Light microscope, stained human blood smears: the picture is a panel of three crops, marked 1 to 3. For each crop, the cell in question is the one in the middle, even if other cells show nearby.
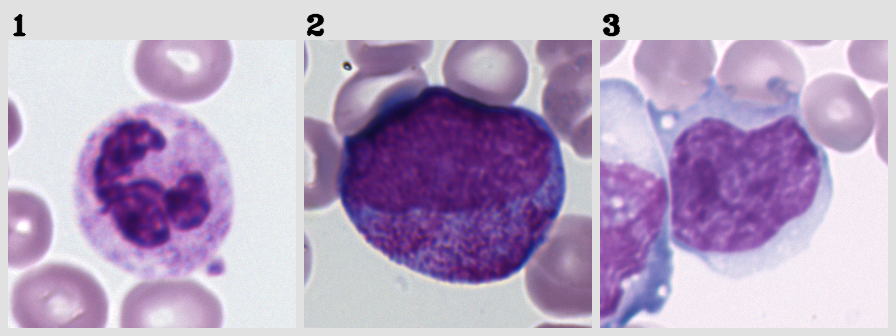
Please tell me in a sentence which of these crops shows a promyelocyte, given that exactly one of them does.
Among the crops provided, a promyelocyte occupies the center of crop 2.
